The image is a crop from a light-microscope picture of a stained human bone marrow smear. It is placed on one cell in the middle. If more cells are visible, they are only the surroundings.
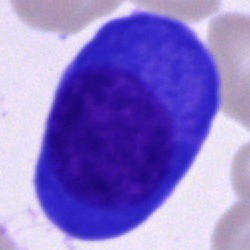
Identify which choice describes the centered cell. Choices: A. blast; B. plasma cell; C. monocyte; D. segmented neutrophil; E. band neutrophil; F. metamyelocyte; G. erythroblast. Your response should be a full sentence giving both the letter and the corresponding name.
Option B holds up: the cell in the middle is a plasma cell.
